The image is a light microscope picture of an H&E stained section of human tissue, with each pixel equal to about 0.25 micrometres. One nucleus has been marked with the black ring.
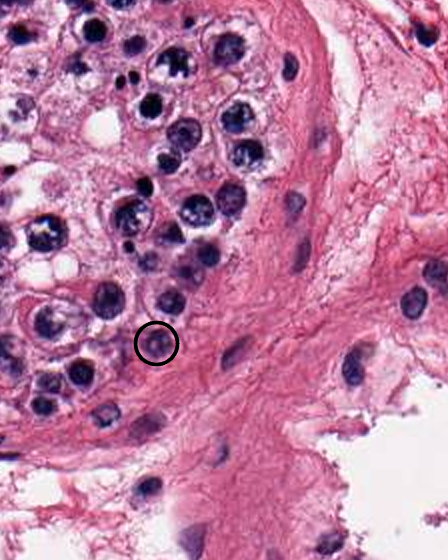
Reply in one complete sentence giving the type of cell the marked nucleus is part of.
What is marked is the nucleus of a spermatogonium.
